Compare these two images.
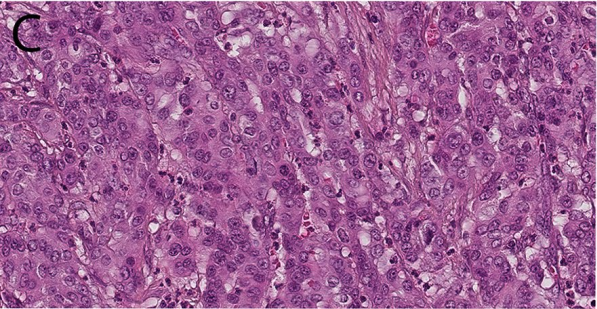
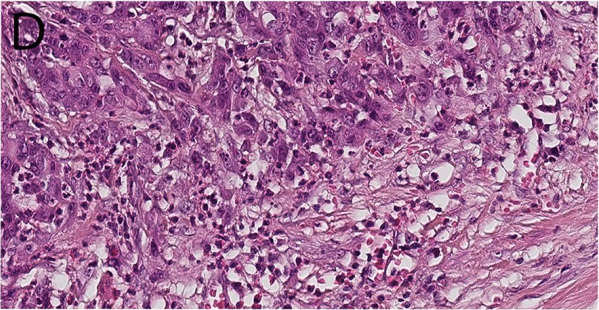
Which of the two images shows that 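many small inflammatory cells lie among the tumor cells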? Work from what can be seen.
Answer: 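Second image: numerous small cells with dark lobed nuclei are scattered between the tumor cells. The answer: the second image.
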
